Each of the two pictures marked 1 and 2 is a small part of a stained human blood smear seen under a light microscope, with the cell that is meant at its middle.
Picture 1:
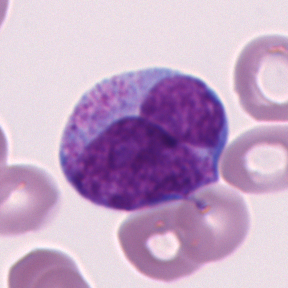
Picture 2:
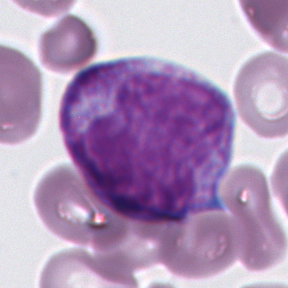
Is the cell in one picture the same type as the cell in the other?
yes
